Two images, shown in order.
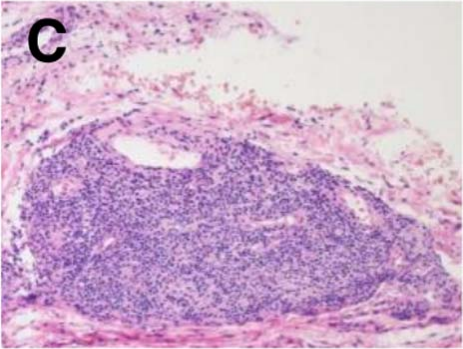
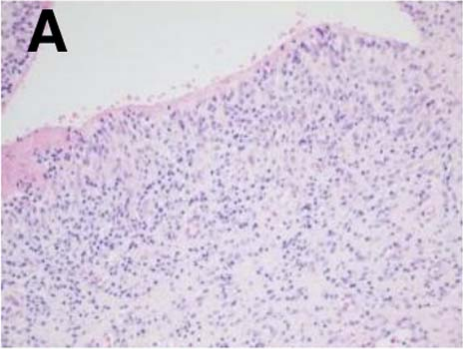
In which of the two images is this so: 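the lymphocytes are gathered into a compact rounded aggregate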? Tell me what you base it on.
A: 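Second image: small dark nuclei are spread diffusely through loose stroma. First image: small dark nuclei are packed into a well-bordered oval cluster surrounded by fibrous tissue.
Answer: the first image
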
